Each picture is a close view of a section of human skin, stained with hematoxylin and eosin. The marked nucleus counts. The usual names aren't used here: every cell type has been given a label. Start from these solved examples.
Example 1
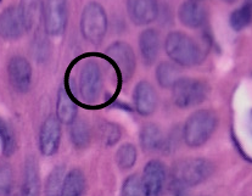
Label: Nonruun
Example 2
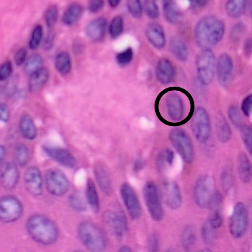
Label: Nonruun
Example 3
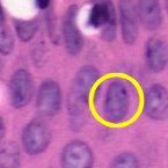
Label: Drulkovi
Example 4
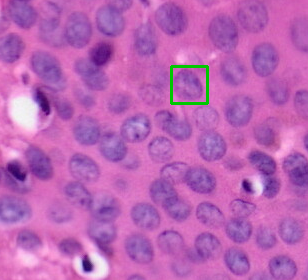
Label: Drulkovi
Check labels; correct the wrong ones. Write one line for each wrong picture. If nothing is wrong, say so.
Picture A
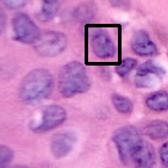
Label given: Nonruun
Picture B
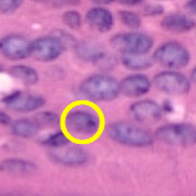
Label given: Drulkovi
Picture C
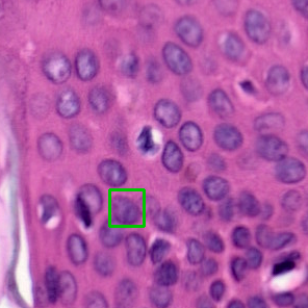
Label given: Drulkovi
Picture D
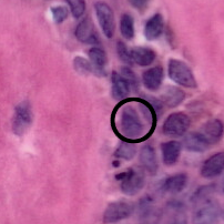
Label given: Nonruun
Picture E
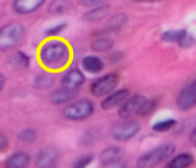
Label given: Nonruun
E is labelled Nonruun; correct label: Drulkovi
